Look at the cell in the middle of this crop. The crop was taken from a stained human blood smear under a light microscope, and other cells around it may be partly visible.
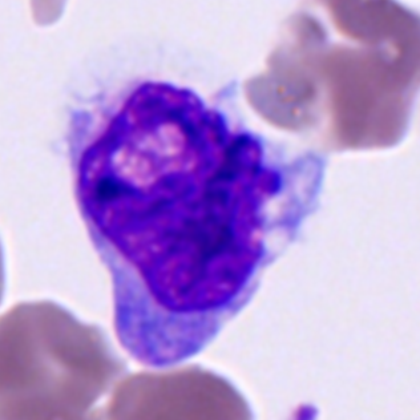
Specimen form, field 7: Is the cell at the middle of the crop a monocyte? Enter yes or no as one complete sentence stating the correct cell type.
Yes, the cell that the crop is centered on is a monocyte.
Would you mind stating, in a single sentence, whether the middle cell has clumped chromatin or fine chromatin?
The chromatin of this one is coarsely clumped.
